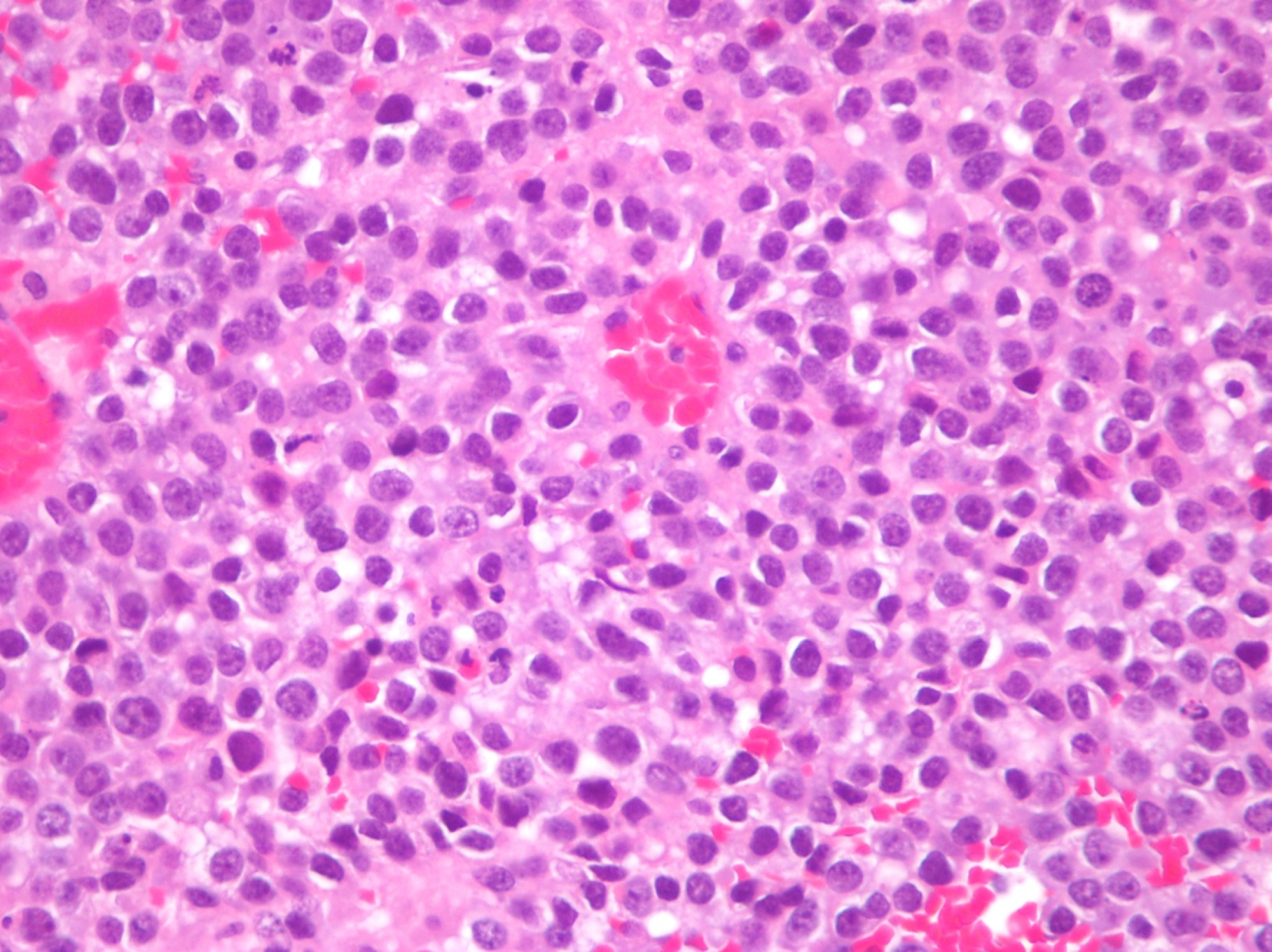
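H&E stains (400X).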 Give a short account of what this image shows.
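This high-power view shows a diffuse sheet of small, round to oval malignant tumor cells packed tightly together, with no glands, layers or other normal architecture between them. Small pools of bright red blood cells lie scattered among the tumor cells, and a few darker, condensed nuclei are dividing cells.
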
